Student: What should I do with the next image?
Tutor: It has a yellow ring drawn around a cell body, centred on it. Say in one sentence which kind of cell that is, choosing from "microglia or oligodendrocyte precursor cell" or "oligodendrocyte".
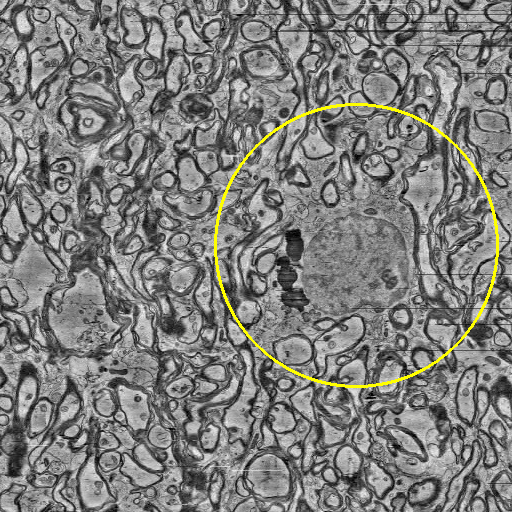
The ring's centre is occupied by an oligodendrocyte.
